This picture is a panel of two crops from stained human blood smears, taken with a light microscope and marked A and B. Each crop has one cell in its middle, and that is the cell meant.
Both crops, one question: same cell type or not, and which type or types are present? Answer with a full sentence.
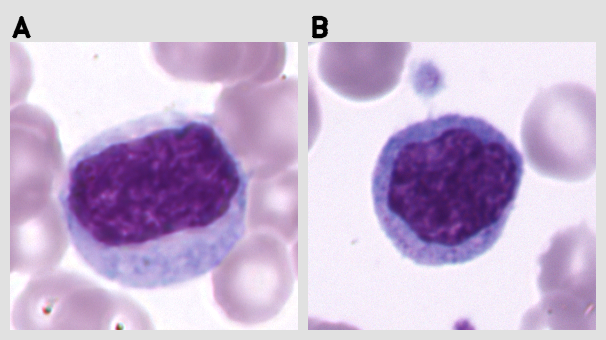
No, it is crop A that shows a promyelocyte, and crop B shows a monocyte.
